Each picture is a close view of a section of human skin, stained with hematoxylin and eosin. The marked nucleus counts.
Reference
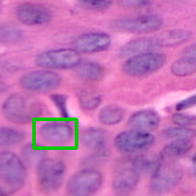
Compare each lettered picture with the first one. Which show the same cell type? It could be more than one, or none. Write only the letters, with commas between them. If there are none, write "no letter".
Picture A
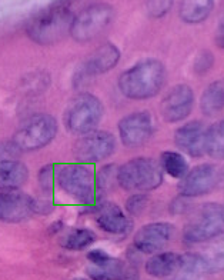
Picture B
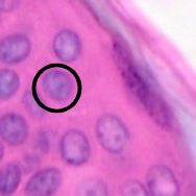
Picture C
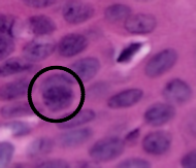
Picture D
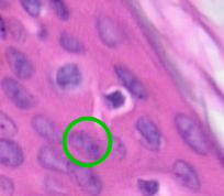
A, C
